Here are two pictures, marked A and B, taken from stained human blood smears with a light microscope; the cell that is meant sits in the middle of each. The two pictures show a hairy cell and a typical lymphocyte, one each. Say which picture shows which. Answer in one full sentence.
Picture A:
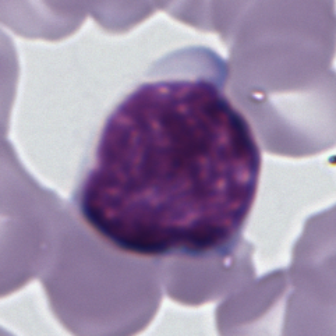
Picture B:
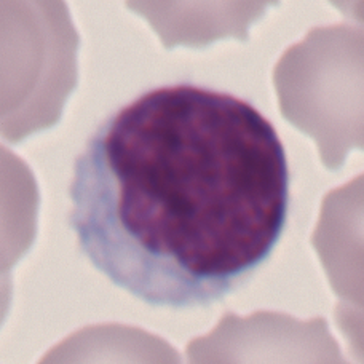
It is picture A that shows a typical lymphocyte, and picture B that shows a hairy cell.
